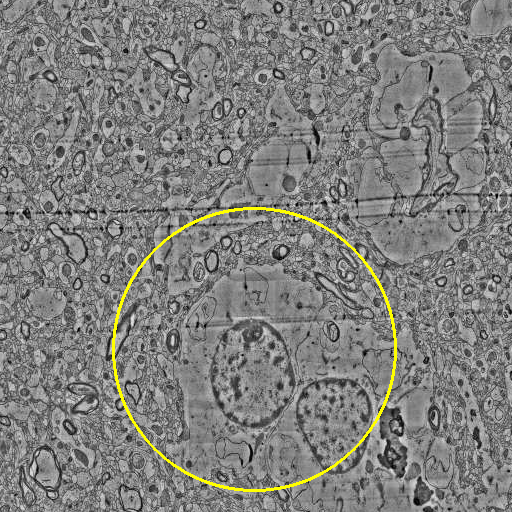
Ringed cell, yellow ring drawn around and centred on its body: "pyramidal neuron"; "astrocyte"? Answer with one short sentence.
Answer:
This ringed cell is an astrocyte.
